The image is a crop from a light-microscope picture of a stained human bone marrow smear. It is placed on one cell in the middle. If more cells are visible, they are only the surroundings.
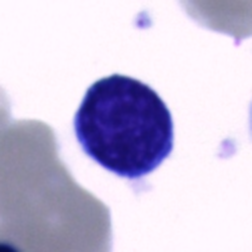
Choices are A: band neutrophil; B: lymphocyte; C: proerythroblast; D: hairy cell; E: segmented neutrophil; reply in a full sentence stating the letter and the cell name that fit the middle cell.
With the cell in the middle being a lymphocyte, option B is the correct choice.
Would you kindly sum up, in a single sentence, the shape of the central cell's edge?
Thanks for asking; the cell edge is smooth and has no projections.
